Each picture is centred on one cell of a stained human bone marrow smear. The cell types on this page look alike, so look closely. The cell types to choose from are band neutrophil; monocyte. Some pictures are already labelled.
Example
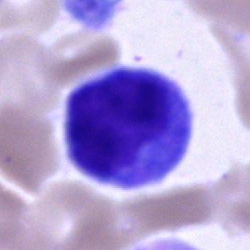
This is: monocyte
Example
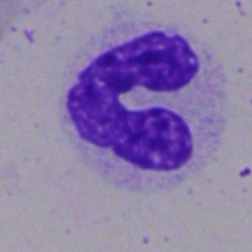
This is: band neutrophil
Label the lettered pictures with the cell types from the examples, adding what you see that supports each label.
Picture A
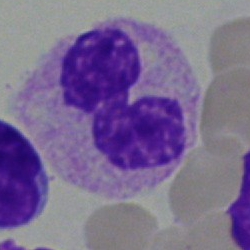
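Label: band neutrophil. The cytoplasm is abundant and pale pinkish-lilac.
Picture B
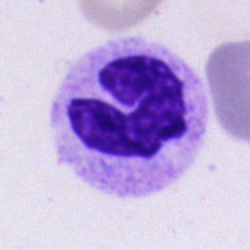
Label: band neutrophil. A wide rim of pale lilac-pink cytoplasm surrounds the nucleus.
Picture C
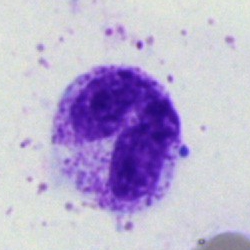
Label: band neutrophil. Many small purple granules are scattered through the cytoplasm.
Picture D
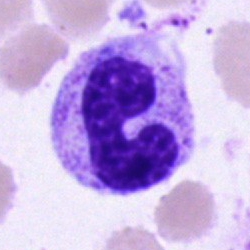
Label: band neutrophil. Fine purple granules are scattered throughout the cytoplasm.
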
